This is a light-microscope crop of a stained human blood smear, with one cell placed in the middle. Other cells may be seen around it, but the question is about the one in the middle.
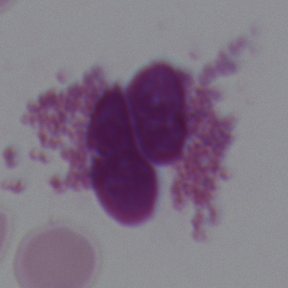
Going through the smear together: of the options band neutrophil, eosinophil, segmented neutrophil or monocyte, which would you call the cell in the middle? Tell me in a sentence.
At the middle of the frame sits an eosinophil.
